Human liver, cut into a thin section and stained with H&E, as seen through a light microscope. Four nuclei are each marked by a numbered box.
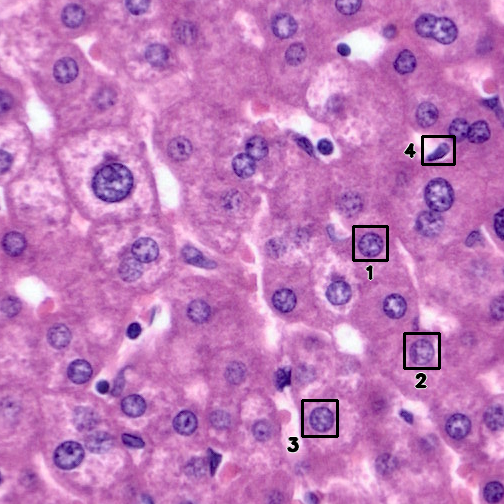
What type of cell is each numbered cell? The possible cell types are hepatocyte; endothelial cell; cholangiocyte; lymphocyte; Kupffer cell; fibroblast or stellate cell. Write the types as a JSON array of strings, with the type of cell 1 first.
["hepatocyte", "hepatocyte", "hepatocyte", "endothelial cell"]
